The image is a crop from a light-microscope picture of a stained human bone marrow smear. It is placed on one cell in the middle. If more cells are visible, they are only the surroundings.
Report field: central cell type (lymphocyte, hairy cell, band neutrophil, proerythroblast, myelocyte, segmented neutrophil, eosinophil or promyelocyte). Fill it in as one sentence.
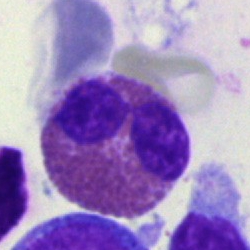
At the middle of the frame sits an eosinophil.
